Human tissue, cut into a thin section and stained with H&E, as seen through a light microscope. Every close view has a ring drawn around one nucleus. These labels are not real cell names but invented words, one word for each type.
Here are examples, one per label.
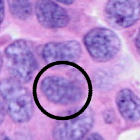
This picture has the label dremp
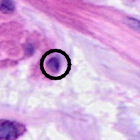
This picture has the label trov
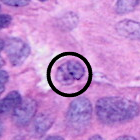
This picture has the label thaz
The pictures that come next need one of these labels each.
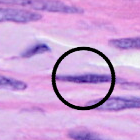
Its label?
trov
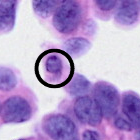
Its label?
thaz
